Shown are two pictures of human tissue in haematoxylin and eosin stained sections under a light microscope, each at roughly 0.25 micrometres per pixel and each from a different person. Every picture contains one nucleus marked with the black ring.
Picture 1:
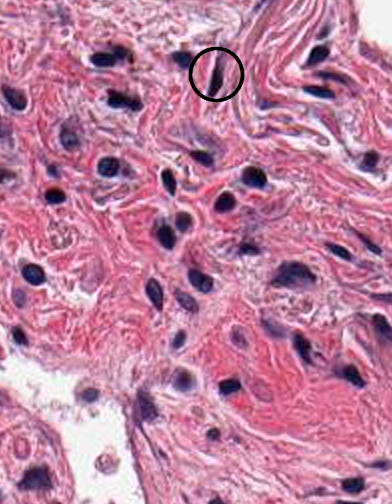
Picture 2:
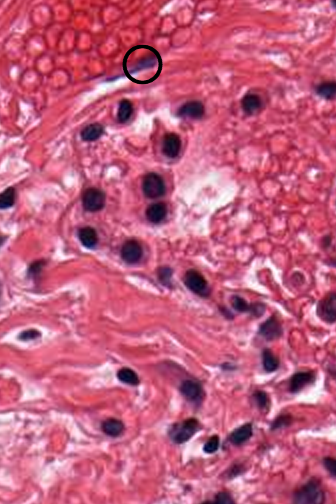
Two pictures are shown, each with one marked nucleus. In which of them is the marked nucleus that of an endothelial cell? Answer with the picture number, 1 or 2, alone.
2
